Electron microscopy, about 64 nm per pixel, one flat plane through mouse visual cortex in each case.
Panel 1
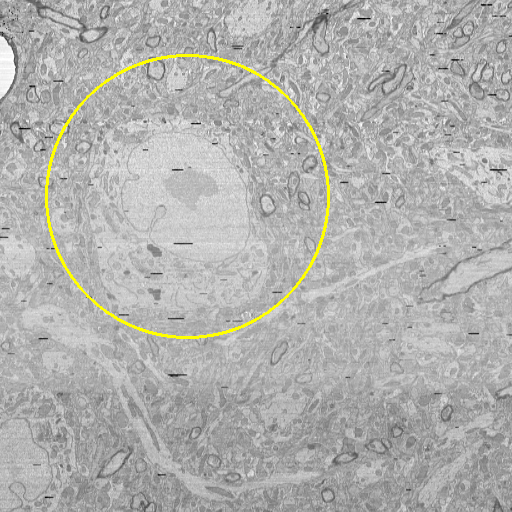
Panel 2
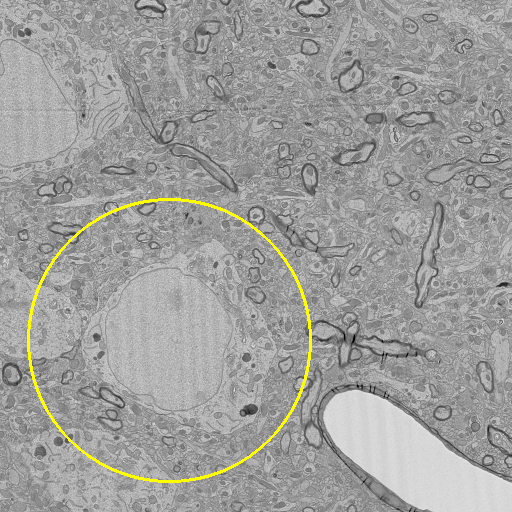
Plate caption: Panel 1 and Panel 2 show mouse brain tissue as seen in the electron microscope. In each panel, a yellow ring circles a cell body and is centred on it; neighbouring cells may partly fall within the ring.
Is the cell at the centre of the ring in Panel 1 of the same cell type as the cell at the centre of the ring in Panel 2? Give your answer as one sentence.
Yes, the two cells are of the same type.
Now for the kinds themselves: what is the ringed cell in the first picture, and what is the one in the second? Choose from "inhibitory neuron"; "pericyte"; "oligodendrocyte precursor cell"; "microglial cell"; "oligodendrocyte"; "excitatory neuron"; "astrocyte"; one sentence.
Both rings mark an excitatory neuron, one in each picture.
